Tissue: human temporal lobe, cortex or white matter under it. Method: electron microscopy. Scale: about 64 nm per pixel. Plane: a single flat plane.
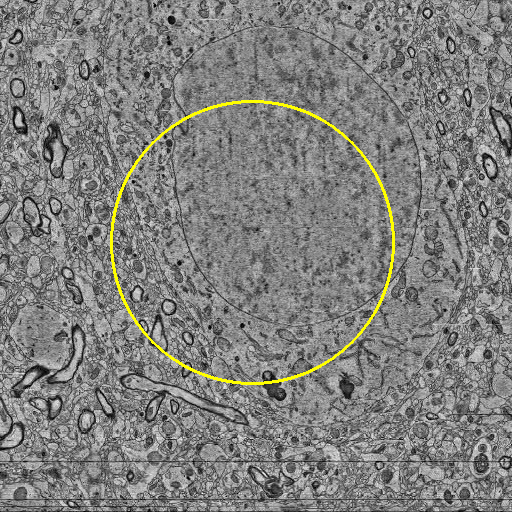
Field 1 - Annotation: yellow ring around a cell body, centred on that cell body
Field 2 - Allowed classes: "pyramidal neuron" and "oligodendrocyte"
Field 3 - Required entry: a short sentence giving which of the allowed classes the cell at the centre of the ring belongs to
The centred cell is a pyramidal neuron.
